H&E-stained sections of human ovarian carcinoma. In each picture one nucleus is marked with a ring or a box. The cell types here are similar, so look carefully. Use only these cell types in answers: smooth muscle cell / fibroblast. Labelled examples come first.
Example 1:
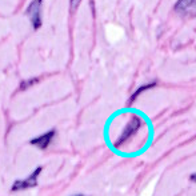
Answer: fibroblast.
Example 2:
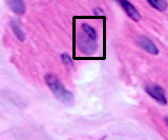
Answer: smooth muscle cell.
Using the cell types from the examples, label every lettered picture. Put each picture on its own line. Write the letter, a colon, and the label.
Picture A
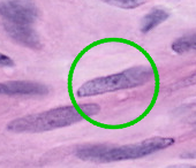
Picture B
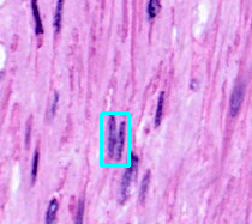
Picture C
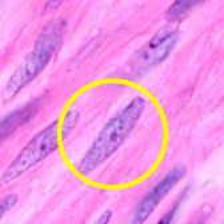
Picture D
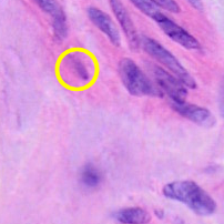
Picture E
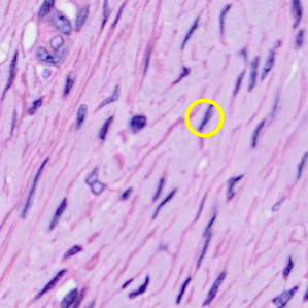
A: smooth muscle cell.
B: fibroblast.
C: smooth muscle cell.
D: smooth muscle cell.
E: fibroblast.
